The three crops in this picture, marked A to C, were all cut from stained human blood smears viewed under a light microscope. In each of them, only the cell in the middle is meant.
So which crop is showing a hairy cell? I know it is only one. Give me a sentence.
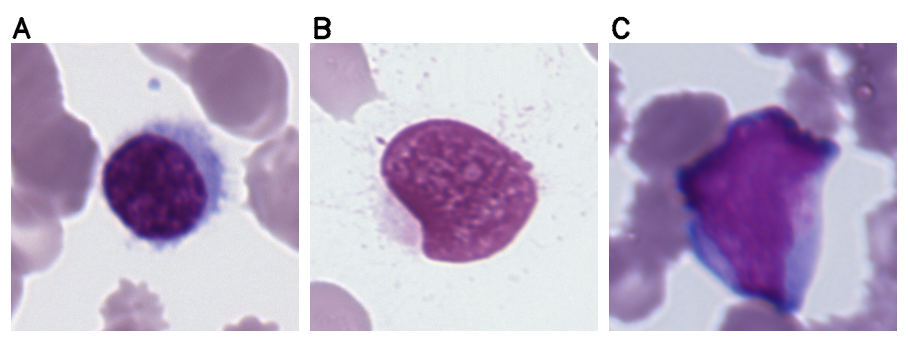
Of the labeled crops, the one with a hairy cell is crop A.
